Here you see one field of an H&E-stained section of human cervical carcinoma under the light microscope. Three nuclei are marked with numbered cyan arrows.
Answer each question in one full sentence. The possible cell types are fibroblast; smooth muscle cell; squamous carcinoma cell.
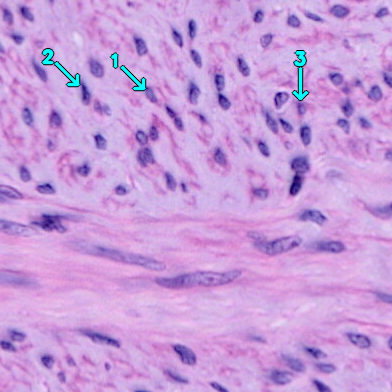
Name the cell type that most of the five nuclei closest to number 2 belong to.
Most of the five nuclei nearest to number 2 are those of smooth muscle cells.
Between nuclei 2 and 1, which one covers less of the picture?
Nucleus 1 is the smaller one; nucleus 2 covers about 2 times its area.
